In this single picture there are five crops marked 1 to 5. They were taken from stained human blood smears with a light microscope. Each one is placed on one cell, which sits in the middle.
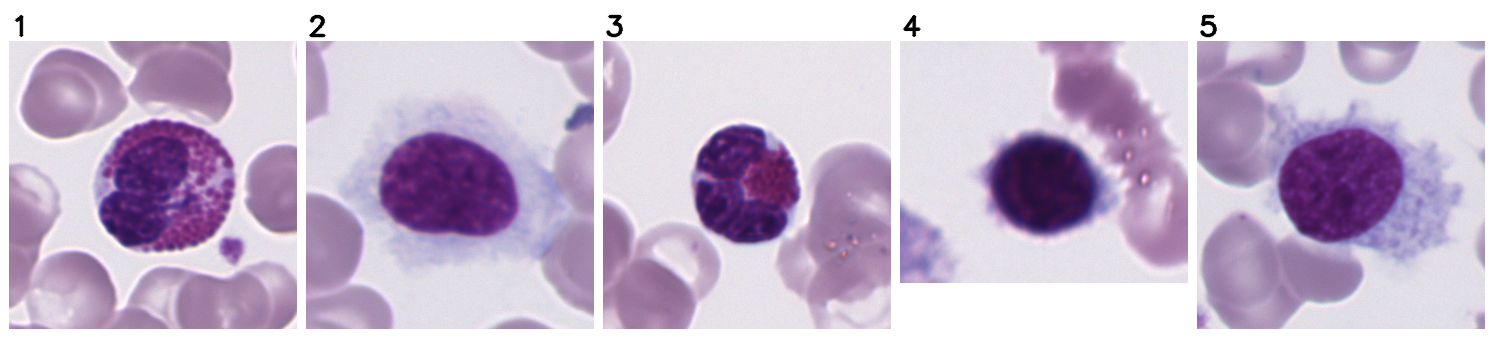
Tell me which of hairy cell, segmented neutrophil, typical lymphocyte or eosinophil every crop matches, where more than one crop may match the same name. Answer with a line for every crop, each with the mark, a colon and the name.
1: eosinophil
2: hairy cell
3: eosinophil
4: hairy cell
5: hairy cell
